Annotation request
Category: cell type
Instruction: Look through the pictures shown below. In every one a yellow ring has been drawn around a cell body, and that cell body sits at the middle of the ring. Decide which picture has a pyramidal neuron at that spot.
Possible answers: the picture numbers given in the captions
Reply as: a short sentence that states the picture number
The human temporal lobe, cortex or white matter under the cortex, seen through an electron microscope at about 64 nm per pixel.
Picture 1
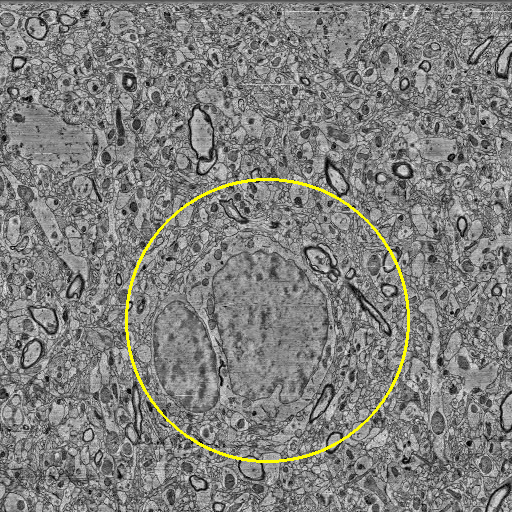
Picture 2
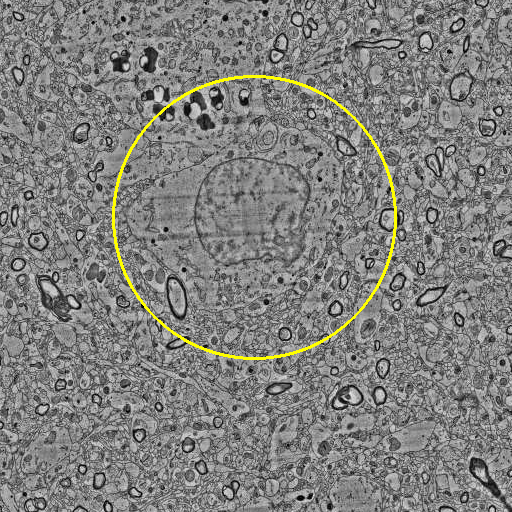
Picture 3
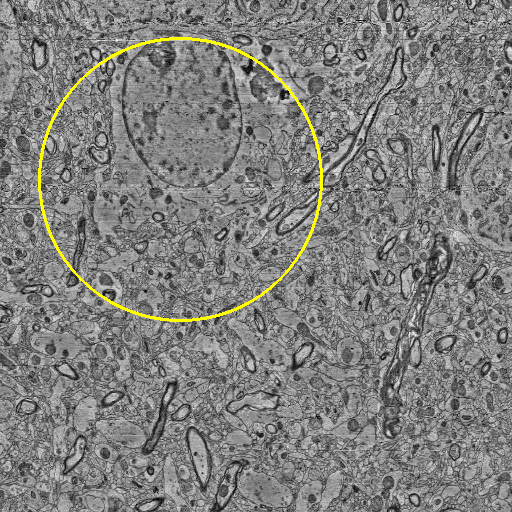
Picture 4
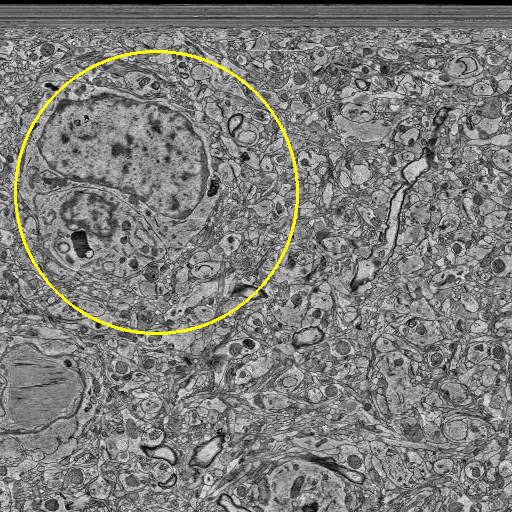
It is in Picture 2.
